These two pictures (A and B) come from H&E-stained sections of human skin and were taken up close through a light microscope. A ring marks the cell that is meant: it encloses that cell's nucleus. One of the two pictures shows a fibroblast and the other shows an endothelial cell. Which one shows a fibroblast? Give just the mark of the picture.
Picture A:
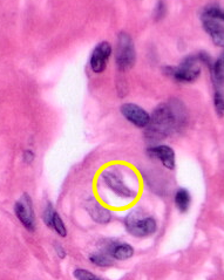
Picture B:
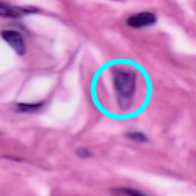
B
